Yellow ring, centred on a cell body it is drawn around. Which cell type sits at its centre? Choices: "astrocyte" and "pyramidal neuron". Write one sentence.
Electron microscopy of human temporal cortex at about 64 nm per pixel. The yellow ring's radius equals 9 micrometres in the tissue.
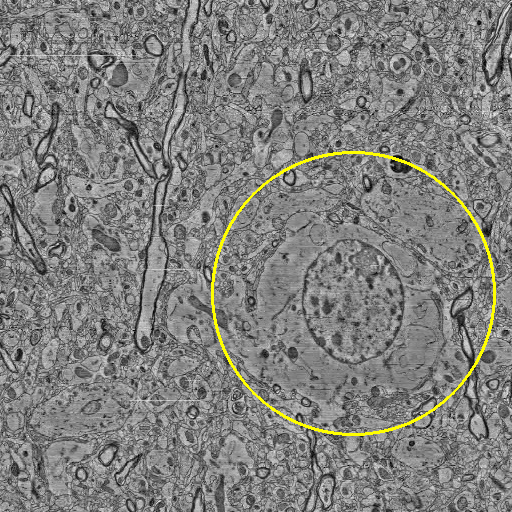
At the centre of the ring sits an astrocyte.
